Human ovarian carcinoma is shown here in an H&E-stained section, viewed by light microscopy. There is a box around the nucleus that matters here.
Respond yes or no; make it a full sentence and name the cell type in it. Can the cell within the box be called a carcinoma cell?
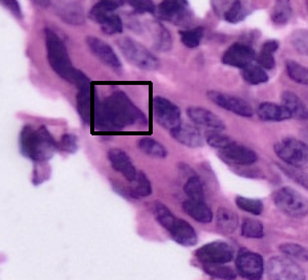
Yes, in this field of view, the cell within the box is a carcinoma cell.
